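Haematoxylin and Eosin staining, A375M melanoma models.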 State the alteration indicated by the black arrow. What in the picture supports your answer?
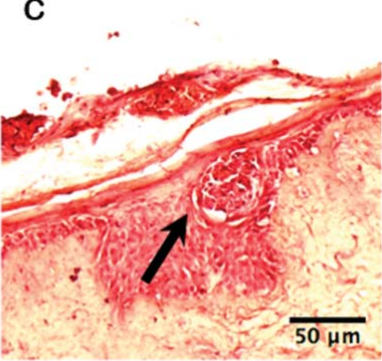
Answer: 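A rounded nest of cells sits inside the epidermis beneath the cornified layer. The nest is set apart from the surrounding epidermal cells by a rim. The answer: cells in cluster within the epidermis.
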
